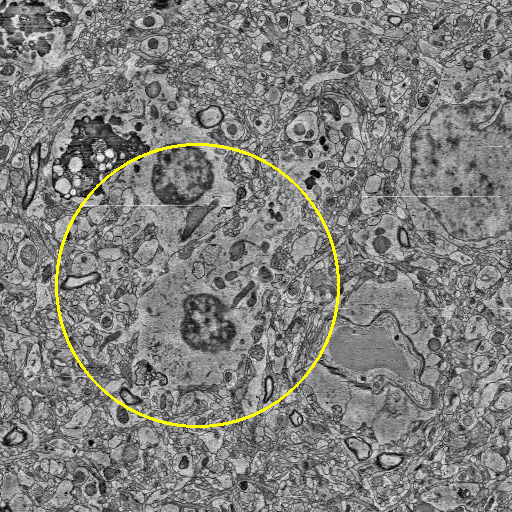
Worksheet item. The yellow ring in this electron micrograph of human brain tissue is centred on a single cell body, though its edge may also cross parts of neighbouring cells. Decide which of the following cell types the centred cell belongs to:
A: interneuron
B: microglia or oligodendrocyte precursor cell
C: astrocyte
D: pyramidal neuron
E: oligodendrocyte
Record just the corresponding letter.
C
